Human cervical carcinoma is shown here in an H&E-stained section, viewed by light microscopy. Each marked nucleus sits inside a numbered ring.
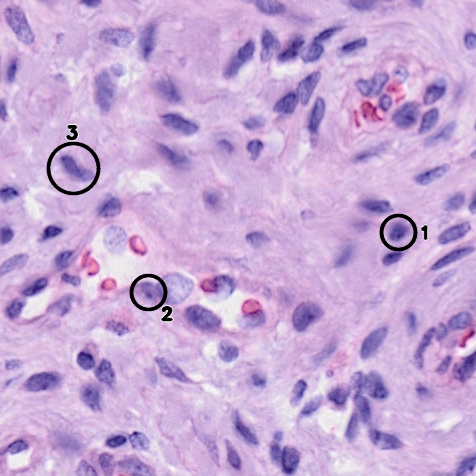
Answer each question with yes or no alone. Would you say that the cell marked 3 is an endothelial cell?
no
